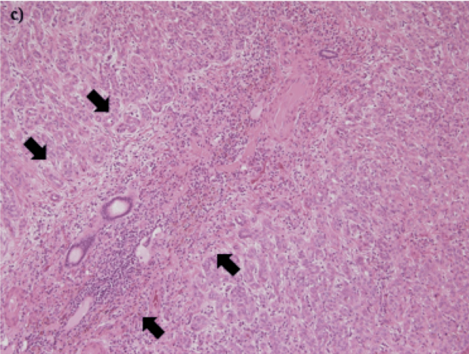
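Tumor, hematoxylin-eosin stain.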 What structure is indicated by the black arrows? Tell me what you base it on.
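Glissonian sheath. The arrows surround a strip of connective tissue holding small round duct and vessel profiles. The strip contains a dense cluster of small dark nuclei. Plates of polygonal pink cells lie on both sides of the strip.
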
